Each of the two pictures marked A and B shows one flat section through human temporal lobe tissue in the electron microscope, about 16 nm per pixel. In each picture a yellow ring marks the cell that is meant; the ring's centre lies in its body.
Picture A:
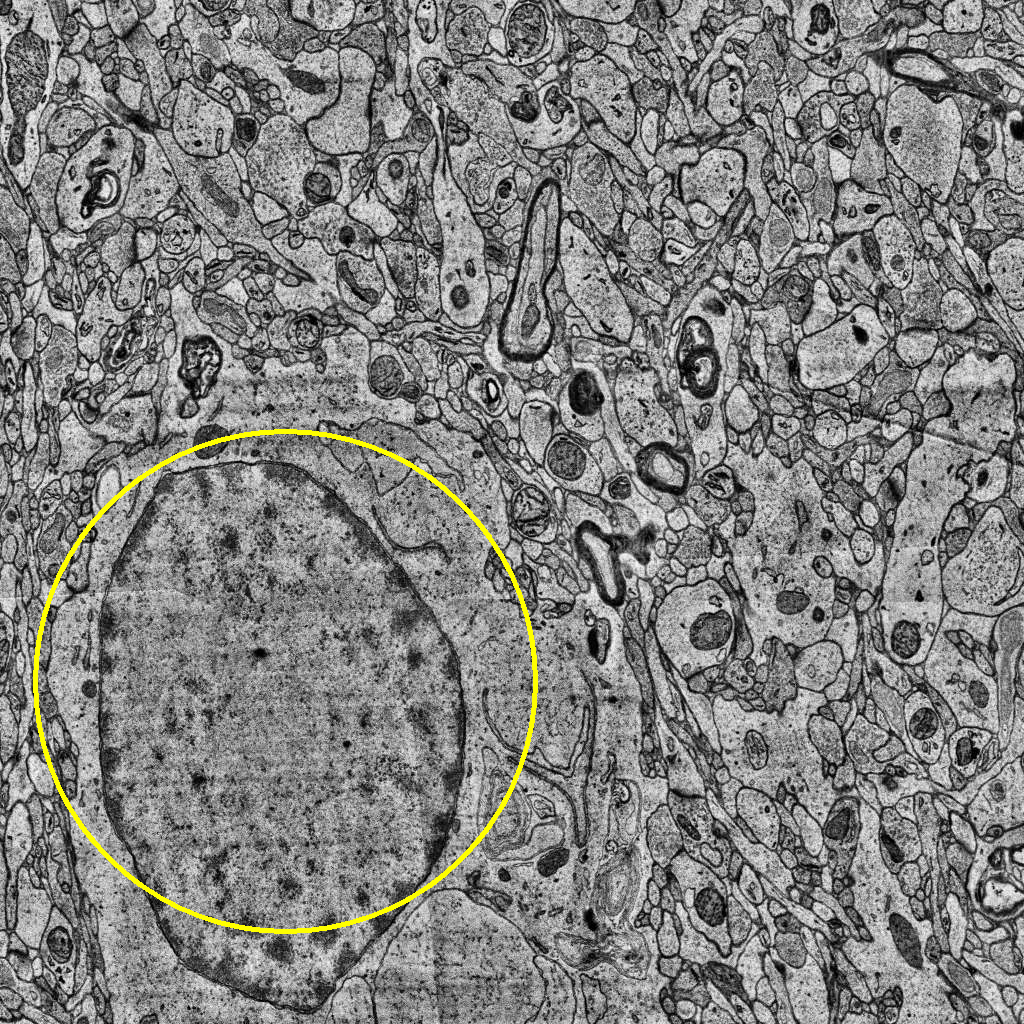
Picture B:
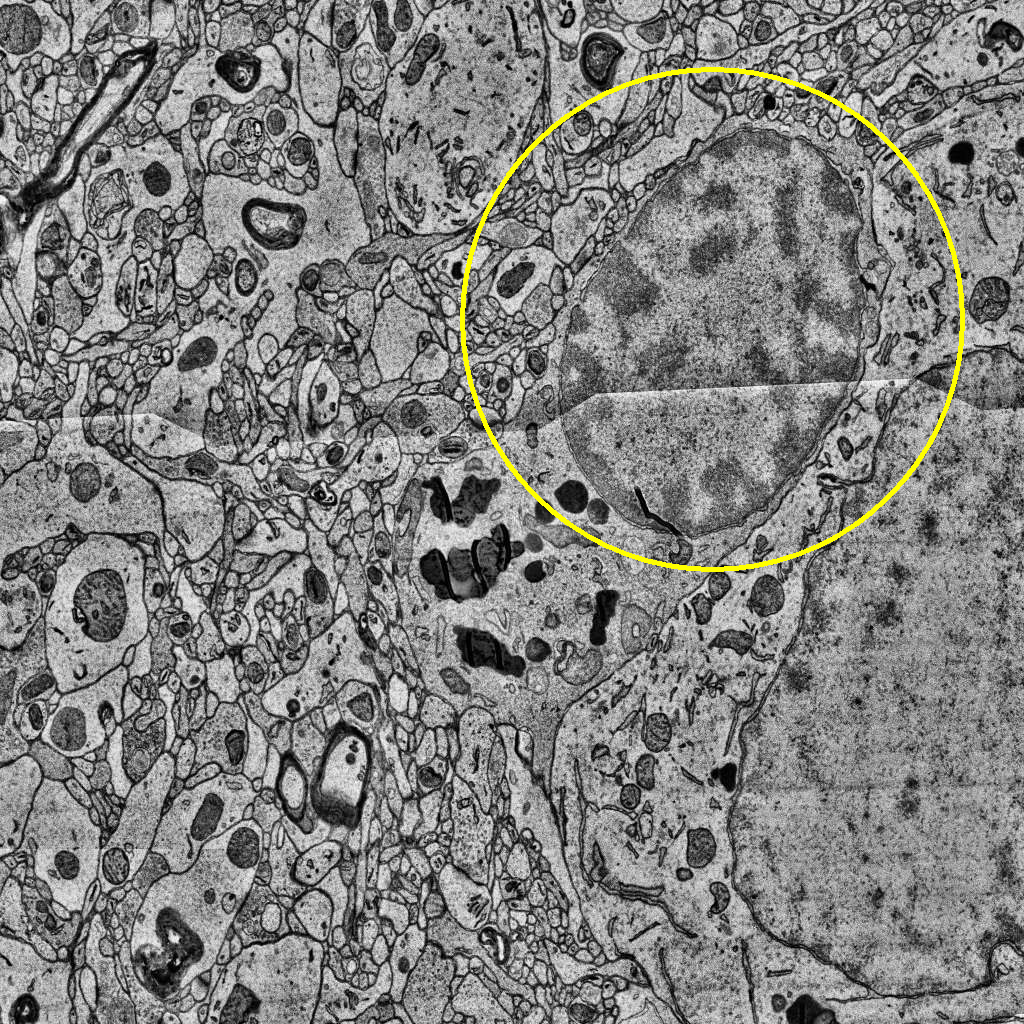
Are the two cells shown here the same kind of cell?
No. Picture A shows an astrocyte, but picture B shows an oligodendrocyte.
